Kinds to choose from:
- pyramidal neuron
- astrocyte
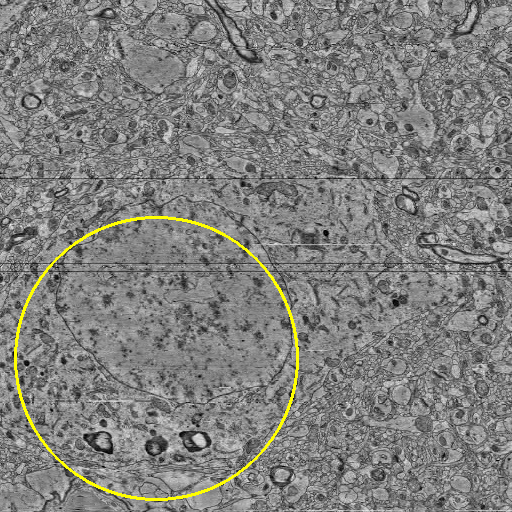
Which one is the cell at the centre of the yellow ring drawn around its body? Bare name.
pyramidal neuron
